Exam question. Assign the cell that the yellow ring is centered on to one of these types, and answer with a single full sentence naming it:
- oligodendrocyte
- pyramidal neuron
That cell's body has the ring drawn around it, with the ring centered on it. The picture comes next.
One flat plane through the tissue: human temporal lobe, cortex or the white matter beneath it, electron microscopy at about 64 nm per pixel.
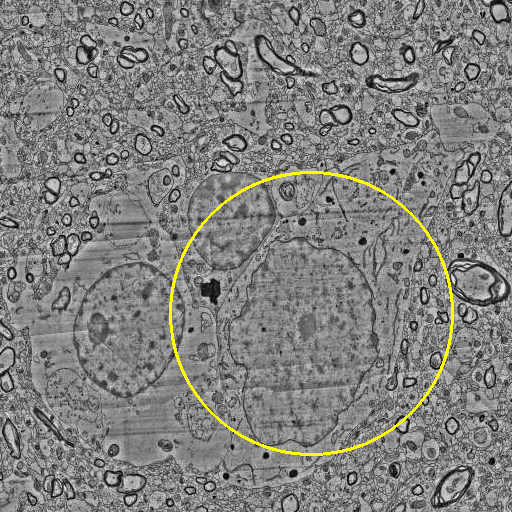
In the micrograph, the cell the yellow ring is centered on is a pyramidal neuron.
